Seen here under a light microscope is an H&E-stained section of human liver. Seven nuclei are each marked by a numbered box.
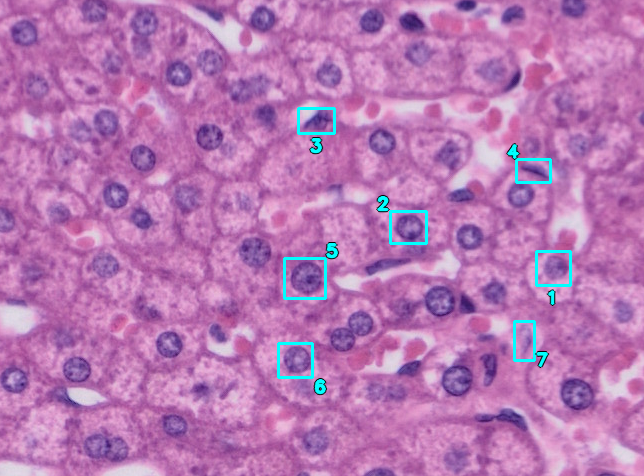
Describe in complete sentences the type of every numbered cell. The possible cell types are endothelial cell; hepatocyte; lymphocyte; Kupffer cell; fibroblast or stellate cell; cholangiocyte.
Cell 1 is a hepatocyte, cell 2 is a hepatocyte, cell 3 is an endothelial cell, cell 4 is a fibroblast or stellate cell, cell 5 is a hepatocyte, cell 6 is a hepatocyte and cell 7 is a Kupffer cell.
